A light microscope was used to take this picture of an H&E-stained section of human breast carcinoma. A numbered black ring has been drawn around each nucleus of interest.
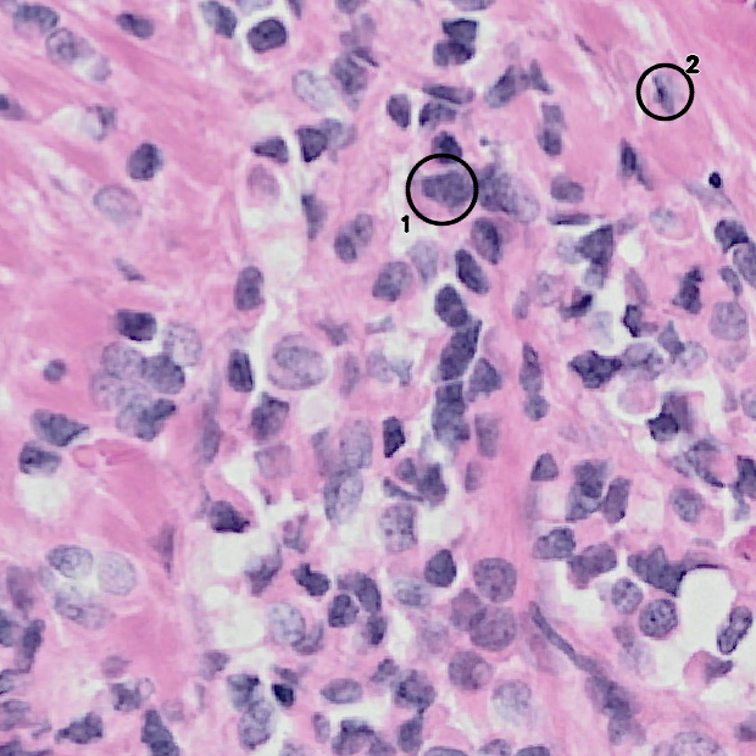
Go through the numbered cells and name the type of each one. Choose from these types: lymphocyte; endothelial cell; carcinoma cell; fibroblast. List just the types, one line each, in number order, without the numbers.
carcinoma cell
fibroblast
